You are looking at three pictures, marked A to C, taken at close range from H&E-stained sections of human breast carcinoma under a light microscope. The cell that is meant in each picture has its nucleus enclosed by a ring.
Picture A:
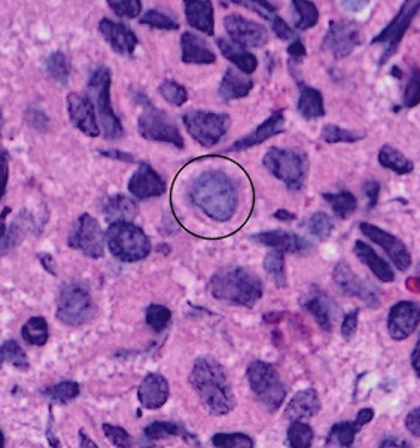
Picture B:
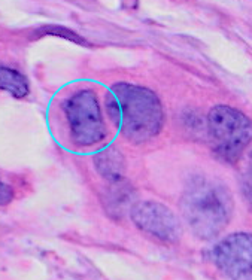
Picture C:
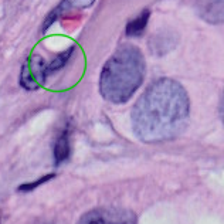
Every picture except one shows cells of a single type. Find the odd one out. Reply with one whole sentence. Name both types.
The others show carcinoma cells, but picture C shows an endothelial cell.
